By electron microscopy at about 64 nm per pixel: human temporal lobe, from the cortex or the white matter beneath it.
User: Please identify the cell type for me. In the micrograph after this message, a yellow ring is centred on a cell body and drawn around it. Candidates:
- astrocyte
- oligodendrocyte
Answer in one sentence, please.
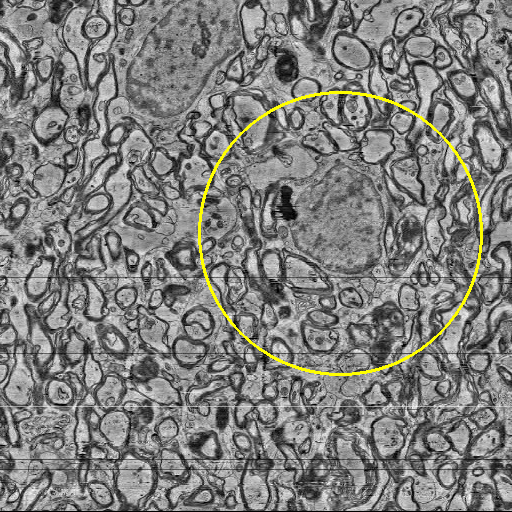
The ring is drawn around the cell body of an oligodendrocyte.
